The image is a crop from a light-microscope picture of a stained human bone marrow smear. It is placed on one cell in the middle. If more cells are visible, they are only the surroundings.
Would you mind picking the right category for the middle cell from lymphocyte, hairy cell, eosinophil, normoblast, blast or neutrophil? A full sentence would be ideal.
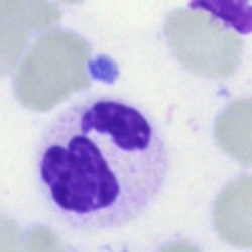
This crop has a neutrophil at its centre.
